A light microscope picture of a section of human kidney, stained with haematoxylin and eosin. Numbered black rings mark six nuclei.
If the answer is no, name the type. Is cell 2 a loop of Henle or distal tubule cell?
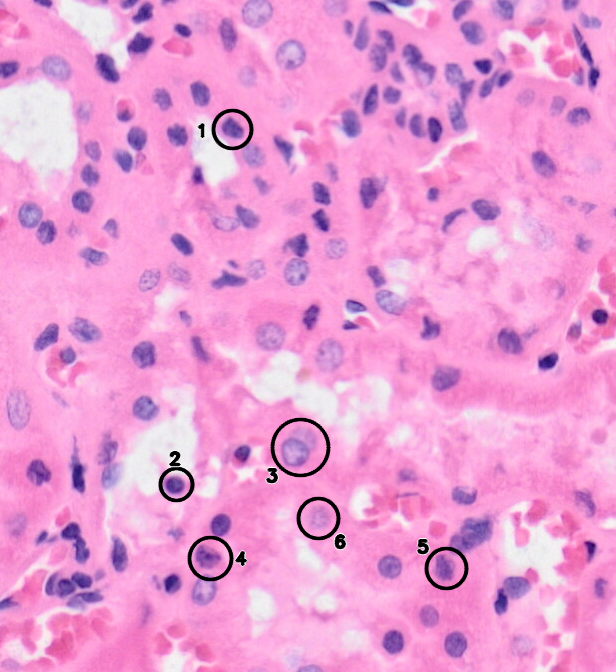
Yes.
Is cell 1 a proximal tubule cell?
No, it is a loop of Henle or distal tubule cell.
